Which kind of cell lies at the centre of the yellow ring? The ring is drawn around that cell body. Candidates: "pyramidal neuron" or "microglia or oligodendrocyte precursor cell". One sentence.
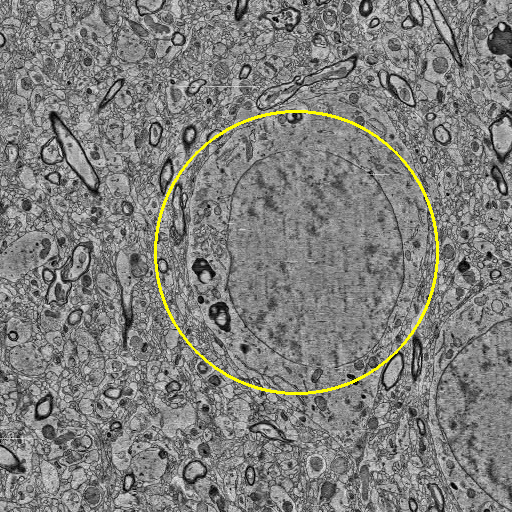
Lying at the centre of the ring is a pyramidal neuron.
